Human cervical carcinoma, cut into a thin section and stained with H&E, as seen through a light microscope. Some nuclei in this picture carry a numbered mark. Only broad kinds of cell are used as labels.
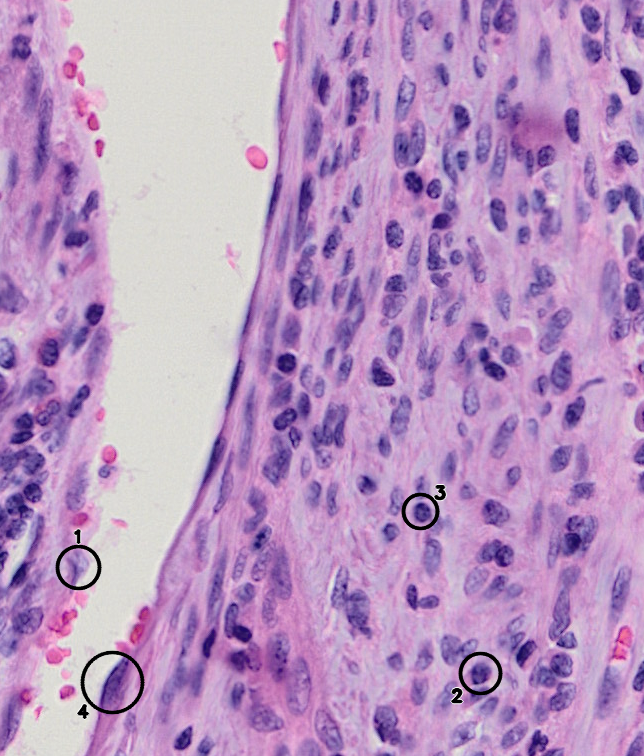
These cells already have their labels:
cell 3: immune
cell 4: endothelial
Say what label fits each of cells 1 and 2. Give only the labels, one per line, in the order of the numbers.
endothelial
immune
